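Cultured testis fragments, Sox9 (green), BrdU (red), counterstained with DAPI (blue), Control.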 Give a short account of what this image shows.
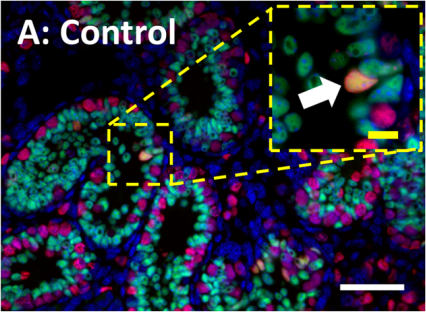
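The green nuclei are oval and packed side by side in a ring around each tubule lumen. Between the tubules lie cells with blue nuclei only, some of which also carry red nuclear label.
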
